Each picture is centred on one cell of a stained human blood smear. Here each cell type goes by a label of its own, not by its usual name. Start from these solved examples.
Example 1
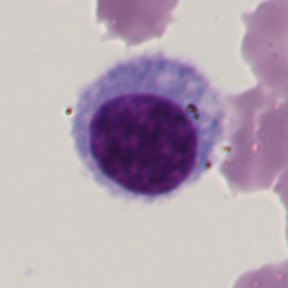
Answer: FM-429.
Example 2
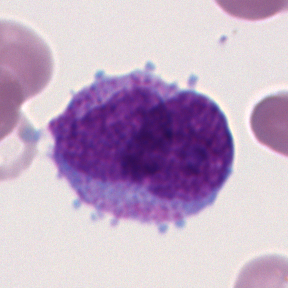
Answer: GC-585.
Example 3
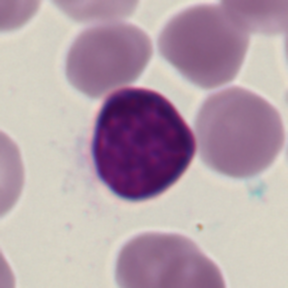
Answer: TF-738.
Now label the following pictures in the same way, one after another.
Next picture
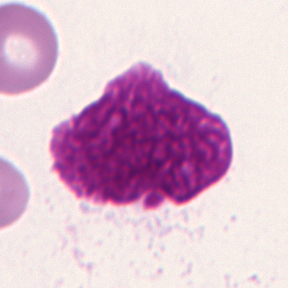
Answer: TF-738.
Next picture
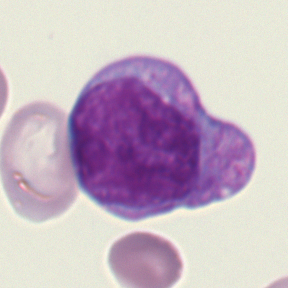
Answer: GC-585.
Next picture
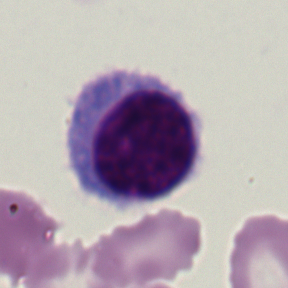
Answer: FM-429.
